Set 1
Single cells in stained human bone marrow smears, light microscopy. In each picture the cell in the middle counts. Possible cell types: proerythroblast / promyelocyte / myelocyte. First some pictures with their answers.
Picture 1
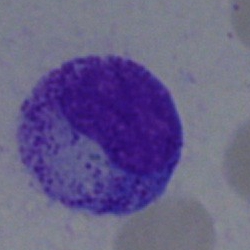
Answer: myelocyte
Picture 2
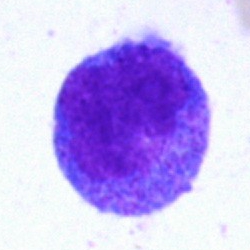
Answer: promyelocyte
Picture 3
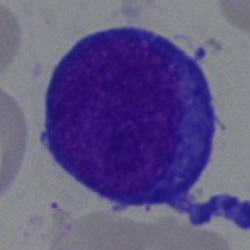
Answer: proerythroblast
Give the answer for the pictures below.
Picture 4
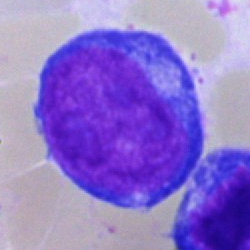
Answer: proerythroblast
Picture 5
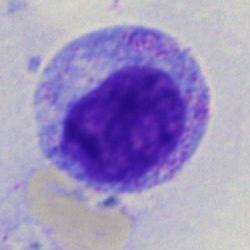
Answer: myelocyte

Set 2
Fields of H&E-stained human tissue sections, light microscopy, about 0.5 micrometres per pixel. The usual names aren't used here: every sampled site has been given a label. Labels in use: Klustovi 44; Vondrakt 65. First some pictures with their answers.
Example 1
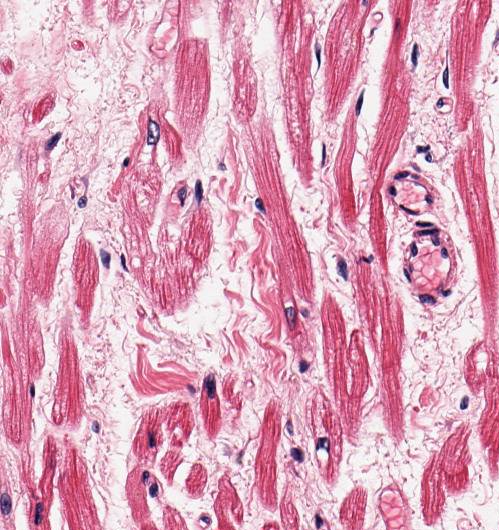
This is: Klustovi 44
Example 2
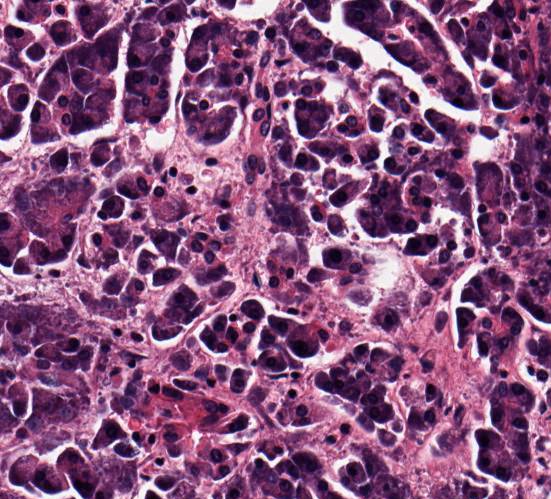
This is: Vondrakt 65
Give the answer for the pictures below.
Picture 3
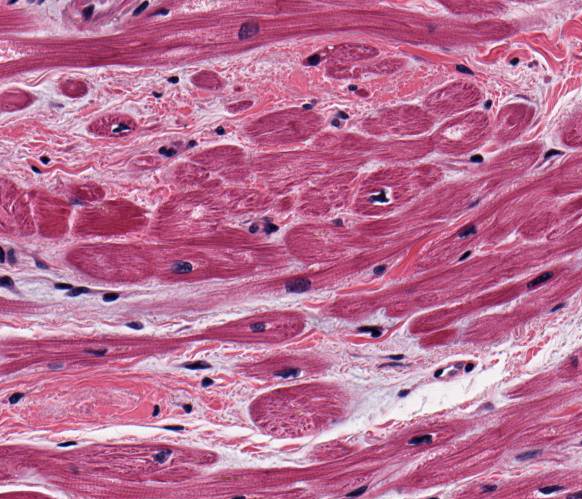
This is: Klustovi 44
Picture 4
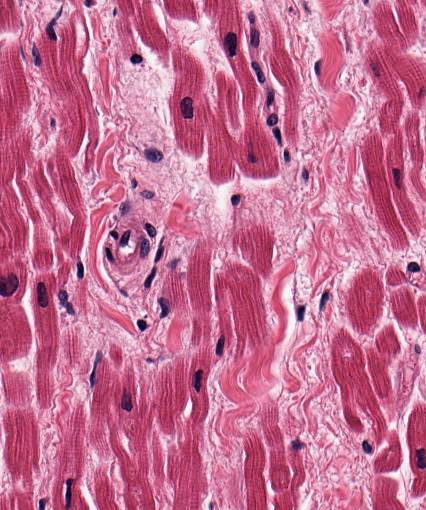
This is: Klustovi 44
